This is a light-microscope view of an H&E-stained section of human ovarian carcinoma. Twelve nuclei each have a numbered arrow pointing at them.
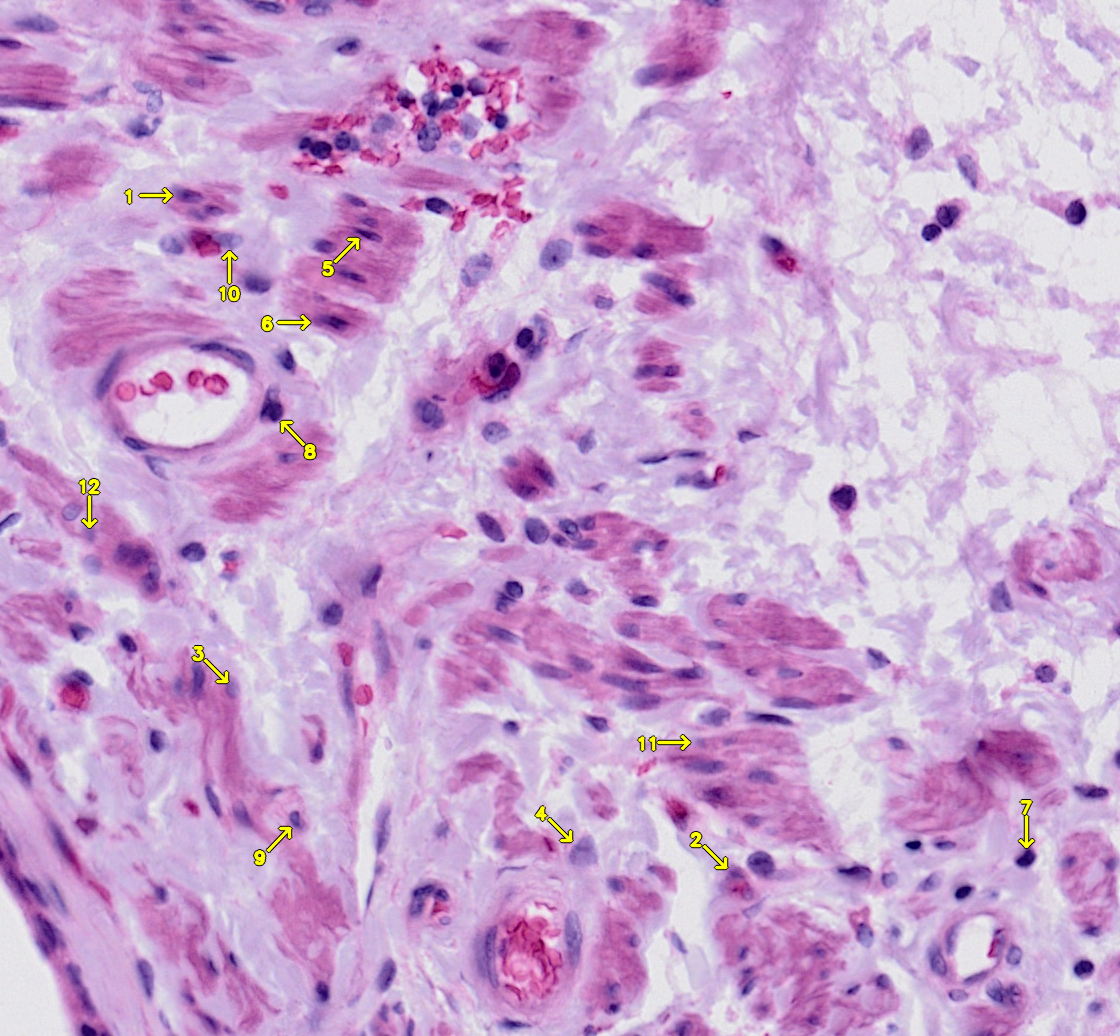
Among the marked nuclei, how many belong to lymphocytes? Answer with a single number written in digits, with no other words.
2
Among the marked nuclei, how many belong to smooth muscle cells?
7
